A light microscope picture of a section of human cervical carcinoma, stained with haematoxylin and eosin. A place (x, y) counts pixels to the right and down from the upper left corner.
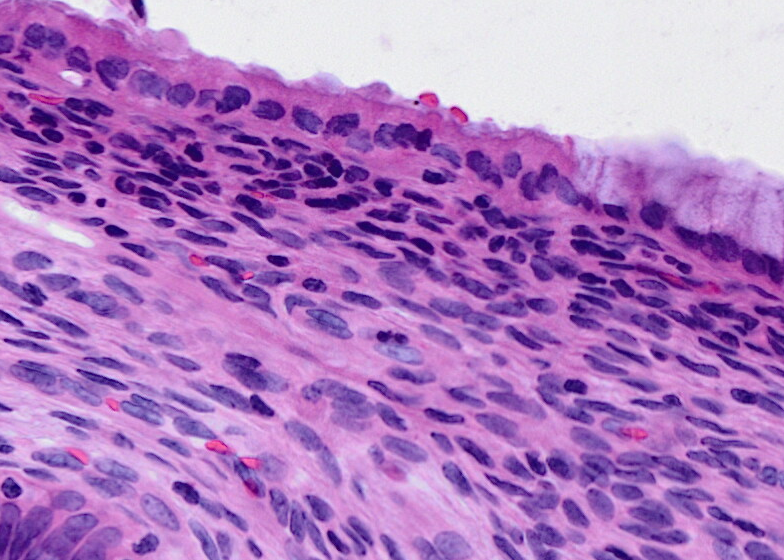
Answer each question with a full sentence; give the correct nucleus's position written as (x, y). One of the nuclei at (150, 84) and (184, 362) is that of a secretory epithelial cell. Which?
So, of the two, the nucleus at (150, 84) is the one belonging to a secretory epithelial cell.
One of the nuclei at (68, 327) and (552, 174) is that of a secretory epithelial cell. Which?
Out of the two, it is the nucleus at (552, 174) that belongs to a secretory epithelial cell.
